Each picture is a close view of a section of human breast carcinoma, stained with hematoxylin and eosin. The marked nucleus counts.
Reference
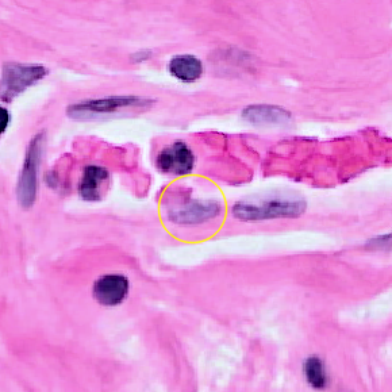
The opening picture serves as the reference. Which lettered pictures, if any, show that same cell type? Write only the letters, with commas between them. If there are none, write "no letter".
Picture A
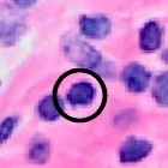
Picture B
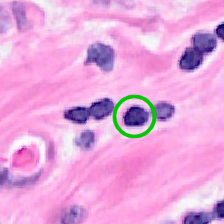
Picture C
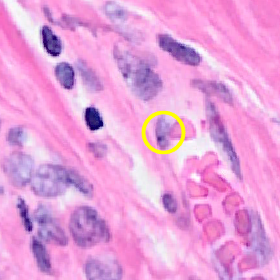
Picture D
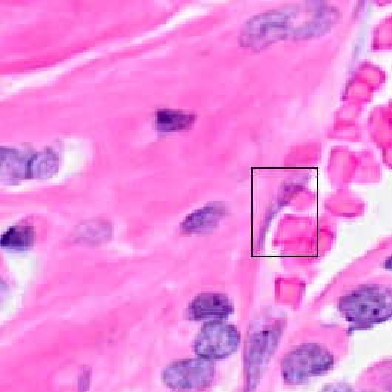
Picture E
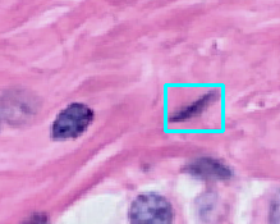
C, D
